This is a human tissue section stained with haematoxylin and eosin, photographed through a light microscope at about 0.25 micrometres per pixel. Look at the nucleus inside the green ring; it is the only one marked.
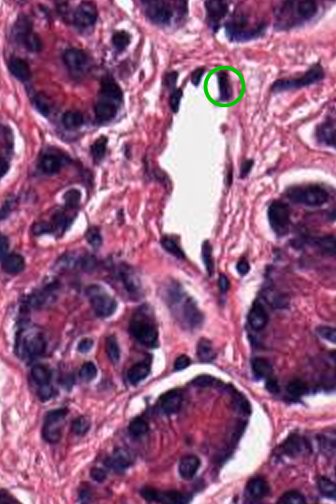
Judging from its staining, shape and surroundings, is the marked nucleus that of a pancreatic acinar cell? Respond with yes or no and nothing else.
no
